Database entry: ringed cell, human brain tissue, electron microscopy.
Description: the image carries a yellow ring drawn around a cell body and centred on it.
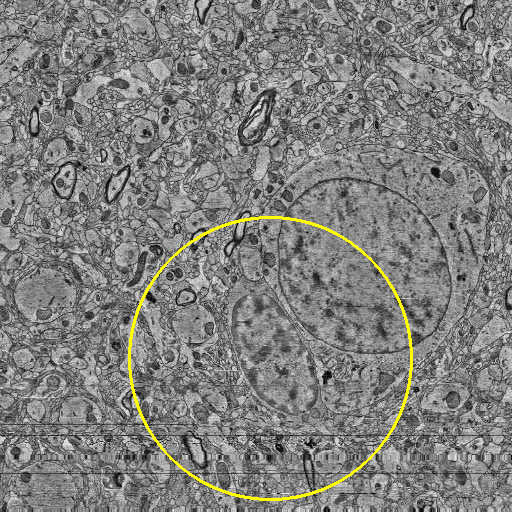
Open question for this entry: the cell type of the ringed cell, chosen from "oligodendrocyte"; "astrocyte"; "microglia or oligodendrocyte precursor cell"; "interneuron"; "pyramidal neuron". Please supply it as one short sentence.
The ringed cell is an oligodendrocyte.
